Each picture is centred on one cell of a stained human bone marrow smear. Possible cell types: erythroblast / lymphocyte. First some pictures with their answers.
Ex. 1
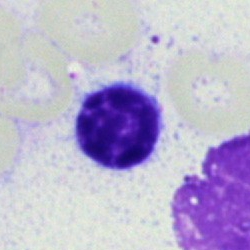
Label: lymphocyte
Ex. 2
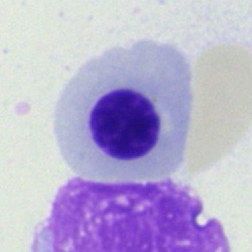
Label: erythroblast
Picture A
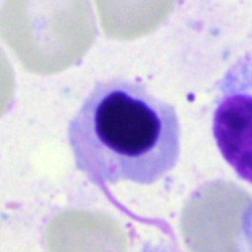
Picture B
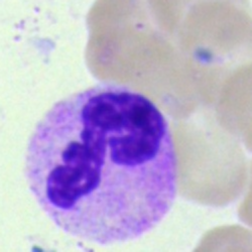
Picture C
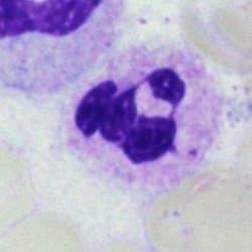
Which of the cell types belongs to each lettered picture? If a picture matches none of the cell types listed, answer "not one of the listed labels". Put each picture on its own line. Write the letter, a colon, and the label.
A: erythroblast
B: not one of the listed labels
C: not one of the listed labels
